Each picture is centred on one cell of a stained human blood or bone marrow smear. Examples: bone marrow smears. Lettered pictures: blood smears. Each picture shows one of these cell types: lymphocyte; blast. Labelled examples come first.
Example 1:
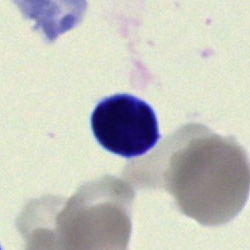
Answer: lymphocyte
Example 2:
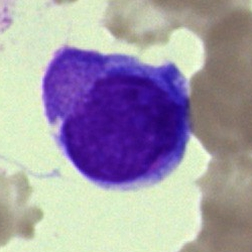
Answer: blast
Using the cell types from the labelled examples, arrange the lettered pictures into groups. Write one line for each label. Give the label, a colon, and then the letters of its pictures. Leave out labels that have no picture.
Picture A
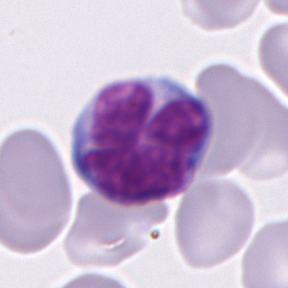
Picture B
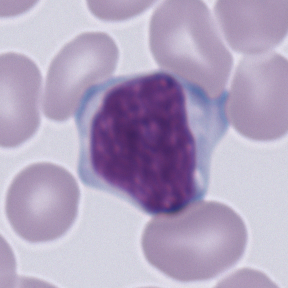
lymphocyte: A, B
